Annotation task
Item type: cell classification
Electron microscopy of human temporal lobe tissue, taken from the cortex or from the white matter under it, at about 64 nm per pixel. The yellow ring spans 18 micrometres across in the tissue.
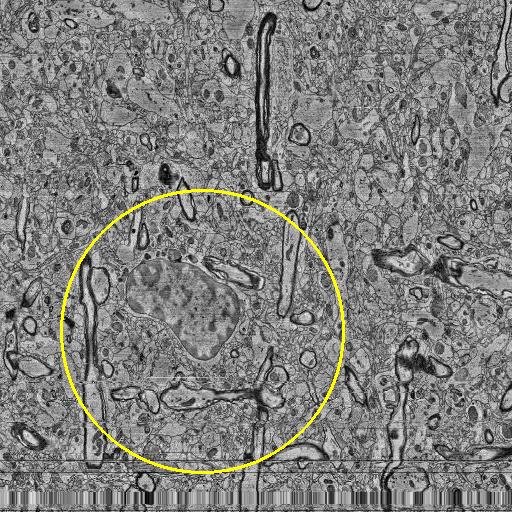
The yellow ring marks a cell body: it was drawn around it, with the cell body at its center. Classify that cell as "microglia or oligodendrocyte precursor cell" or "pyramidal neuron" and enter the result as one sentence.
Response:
The ring's center falls on a microglial cell or oligodendrocyte precursor cell.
